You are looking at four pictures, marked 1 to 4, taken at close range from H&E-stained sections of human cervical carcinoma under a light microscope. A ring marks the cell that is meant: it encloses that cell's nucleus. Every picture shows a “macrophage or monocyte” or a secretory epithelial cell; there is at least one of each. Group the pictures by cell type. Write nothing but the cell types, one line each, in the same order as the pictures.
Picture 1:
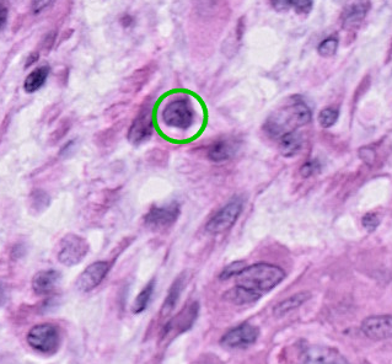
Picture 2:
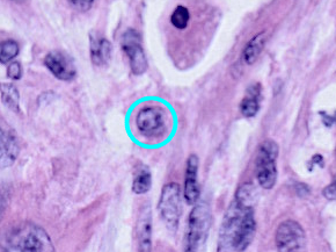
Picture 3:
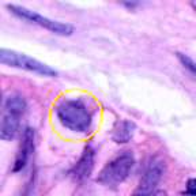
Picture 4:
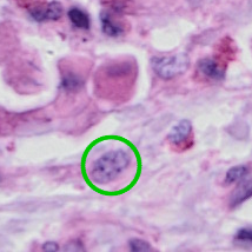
macrophage or monocyte
macrophage or monocyte
secretory epithelial cell
macrophage or monocyte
